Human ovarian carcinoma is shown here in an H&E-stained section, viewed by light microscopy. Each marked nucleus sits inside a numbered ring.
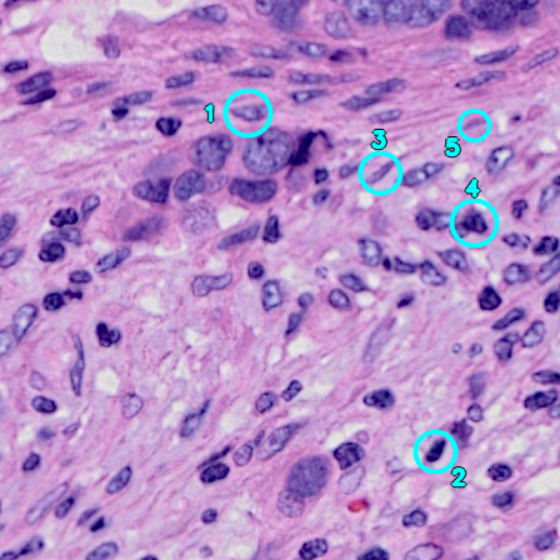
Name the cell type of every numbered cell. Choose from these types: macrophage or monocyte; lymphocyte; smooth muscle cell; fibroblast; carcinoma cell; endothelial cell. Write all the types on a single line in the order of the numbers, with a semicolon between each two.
fibroblast; lymphocyte; fibroblast; lymphocyte; fibroblast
